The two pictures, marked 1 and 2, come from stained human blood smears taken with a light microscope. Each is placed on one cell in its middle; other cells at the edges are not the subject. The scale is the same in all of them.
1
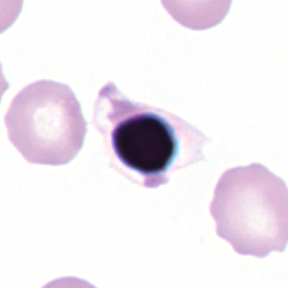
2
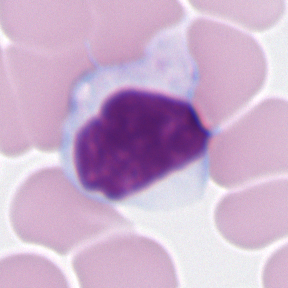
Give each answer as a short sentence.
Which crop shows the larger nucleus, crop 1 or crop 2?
It is the nucleus in crop 2, about 4 times as large in area as the one in crop 1.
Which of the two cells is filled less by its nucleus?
It is the cell in crop 1 that is filled less by its nucleus.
